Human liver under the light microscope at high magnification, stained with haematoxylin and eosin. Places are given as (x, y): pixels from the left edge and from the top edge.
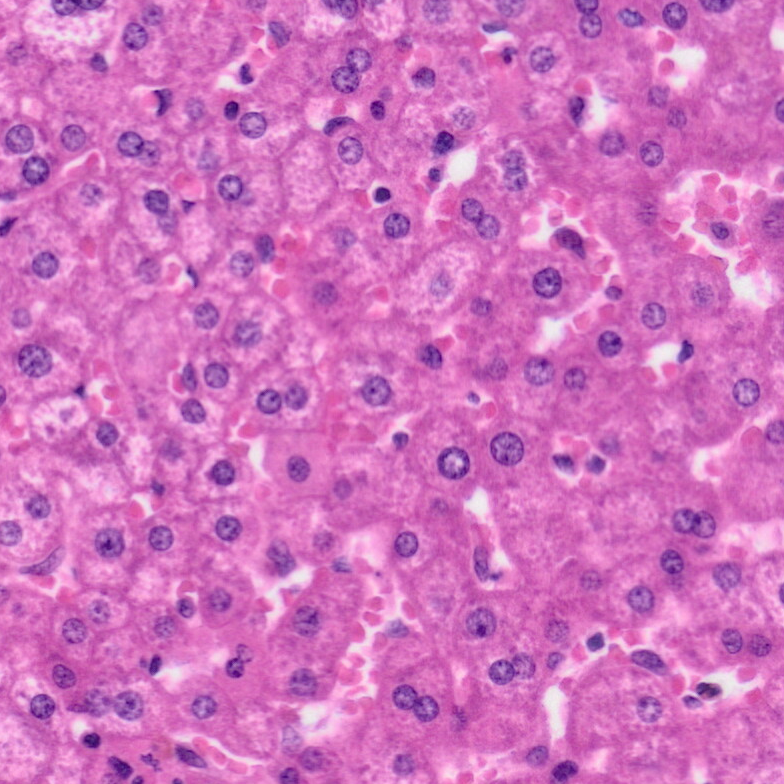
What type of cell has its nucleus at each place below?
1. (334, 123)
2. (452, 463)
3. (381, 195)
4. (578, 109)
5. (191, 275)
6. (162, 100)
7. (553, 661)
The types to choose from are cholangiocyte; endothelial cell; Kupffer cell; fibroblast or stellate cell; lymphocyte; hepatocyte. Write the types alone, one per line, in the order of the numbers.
endothelial cell
hepatocyte
lymphocyte
Kupffer cell
endothelial cell
endothelial cell
Kupffer cell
